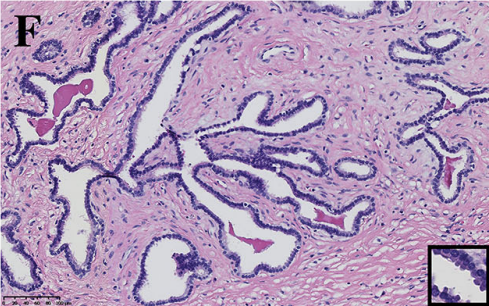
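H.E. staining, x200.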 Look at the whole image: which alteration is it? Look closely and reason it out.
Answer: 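Homogeneous pink material fills parts of several gland lumens. The pink material lies inside spaces lined by epithelium.
Conclusion: intraglandular eosinophilic fluid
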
